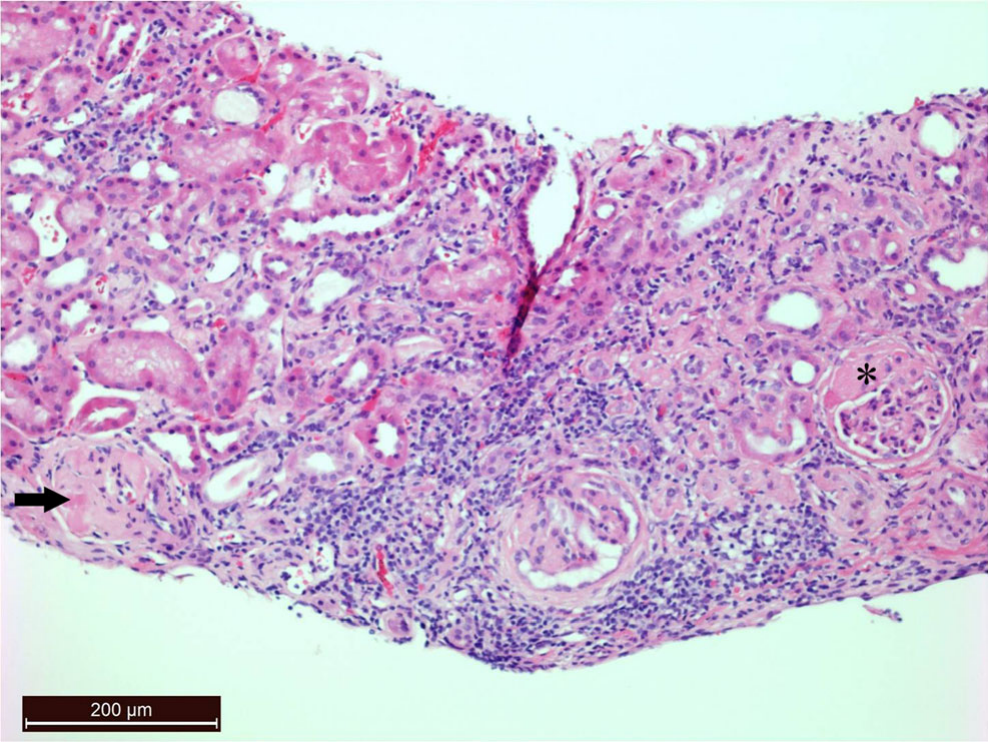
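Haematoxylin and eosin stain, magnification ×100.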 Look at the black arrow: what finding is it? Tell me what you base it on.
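Globally sclerosed. The arrow points to a rounded structure at the left edge. The structure is filled with pale pink, nearly acellular material. No open capillary loops can be made out within it.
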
